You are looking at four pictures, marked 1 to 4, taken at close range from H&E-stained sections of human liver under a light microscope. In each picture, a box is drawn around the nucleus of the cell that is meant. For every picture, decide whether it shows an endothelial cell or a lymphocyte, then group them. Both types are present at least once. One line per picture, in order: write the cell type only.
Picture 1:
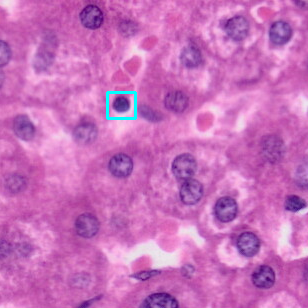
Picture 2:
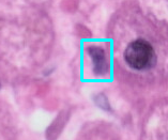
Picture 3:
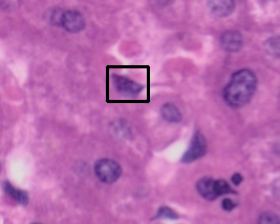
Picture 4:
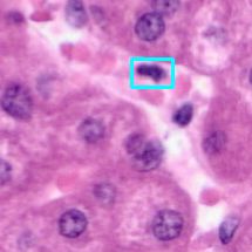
lymphocyte
endothelial cell
endothelial cell
lymphocyte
